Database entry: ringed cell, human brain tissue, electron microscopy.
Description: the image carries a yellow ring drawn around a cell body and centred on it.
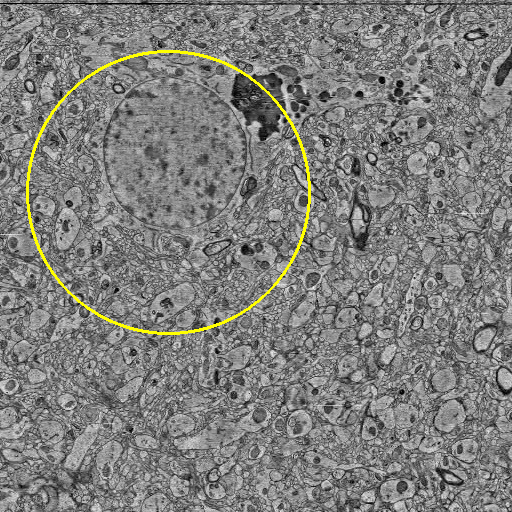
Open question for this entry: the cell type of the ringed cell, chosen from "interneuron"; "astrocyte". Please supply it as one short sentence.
The ringed cell is an astrocyte.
